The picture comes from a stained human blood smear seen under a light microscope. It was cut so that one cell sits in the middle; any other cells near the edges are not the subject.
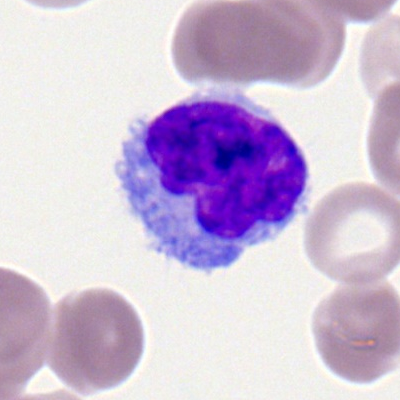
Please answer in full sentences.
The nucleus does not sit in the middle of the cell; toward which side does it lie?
It is shifted toward the upper right of the cell.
